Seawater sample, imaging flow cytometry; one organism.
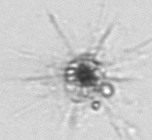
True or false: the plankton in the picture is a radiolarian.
True.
